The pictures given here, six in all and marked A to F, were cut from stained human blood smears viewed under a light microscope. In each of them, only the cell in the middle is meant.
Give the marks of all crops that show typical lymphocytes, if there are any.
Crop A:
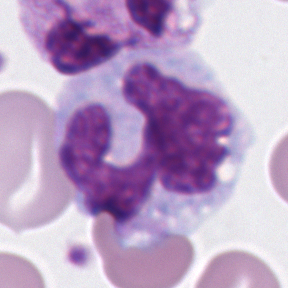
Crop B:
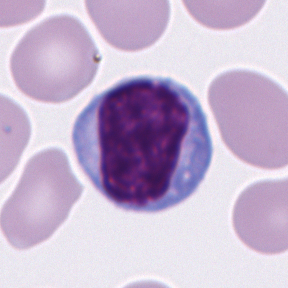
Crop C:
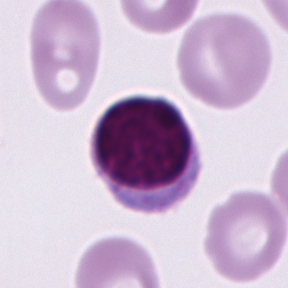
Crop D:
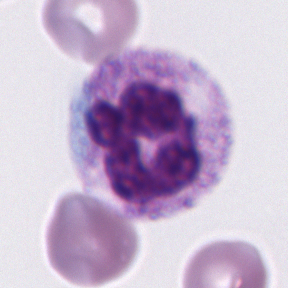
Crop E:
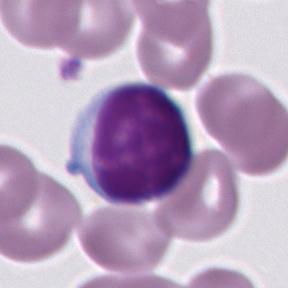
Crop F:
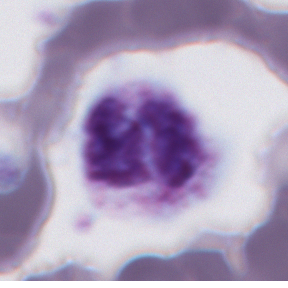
B, C, E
